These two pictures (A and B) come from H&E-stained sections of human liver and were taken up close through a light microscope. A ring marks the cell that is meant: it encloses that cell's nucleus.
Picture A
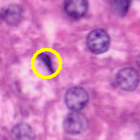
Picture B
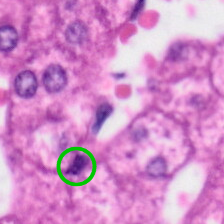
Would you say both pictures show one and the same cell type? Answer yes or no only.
yes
